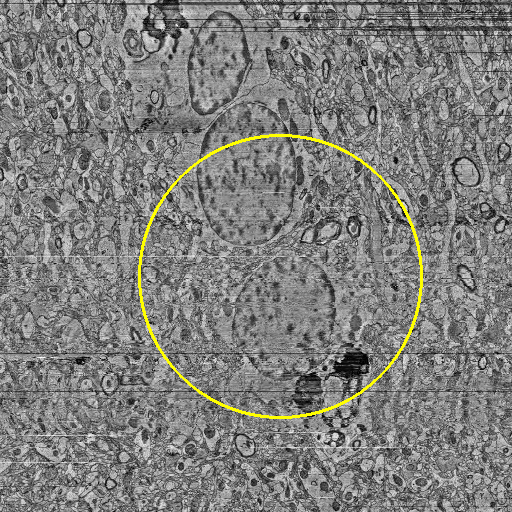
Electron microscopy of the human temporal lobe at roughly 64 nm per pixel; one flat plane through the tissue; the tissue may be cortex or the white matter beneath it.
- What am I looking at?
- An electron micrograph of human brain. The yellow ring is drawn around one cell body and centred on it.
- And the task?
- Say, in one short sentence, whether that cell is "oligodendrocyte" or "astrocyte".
The cell in the middle of the ring is an astrocyte.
